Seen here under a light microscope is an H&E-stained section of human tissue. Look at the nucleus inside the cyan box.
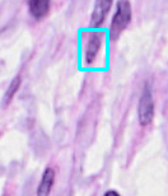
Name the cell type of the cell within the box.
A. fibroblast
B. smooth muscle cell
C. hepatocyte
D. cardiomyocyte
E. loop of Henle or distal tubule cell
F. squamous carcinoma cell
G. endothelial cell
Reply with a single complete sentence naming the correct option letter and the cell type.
Here the cell within the box is a fibroblast; pick option A.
